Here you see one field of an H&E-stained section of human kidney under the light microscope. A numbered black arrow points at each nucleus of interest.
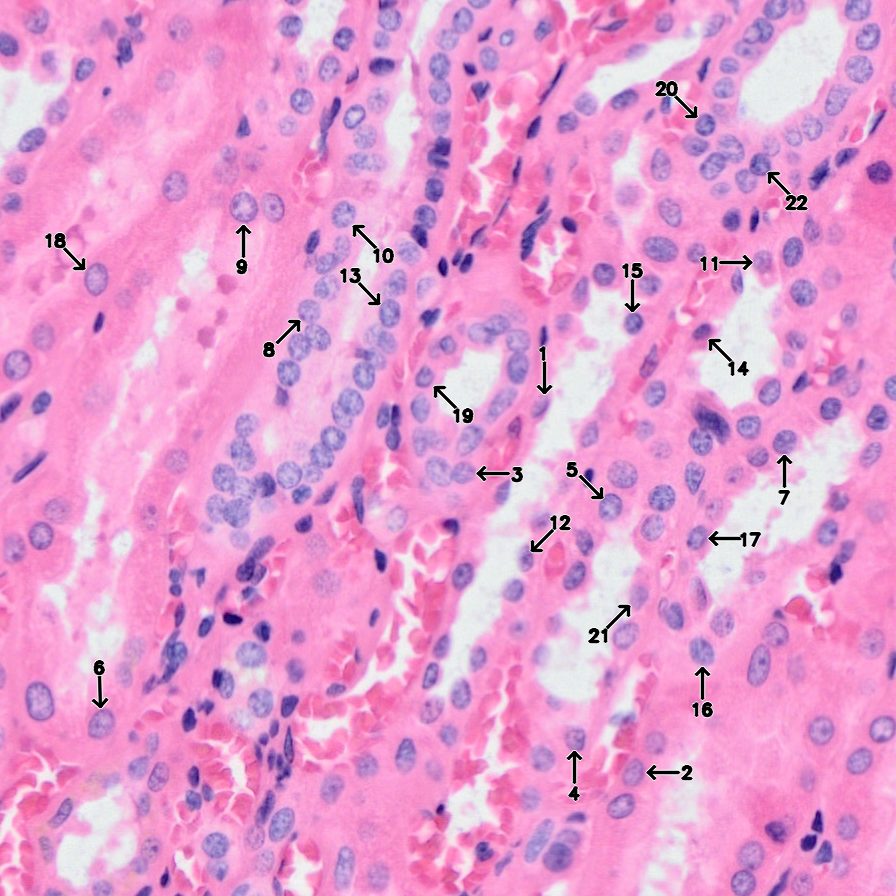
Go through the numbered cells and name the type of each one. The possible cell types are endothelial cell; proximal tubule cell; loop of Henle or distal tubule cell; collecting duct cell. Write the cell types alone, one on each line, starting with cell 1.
loop of Henle or distal tubule cell
proximal tubule cell
collecting duct cell
loop of Henle or distal tubule cell
loop of Henle or distal tubule cell
proximal tubule cell
loop of Henle or distal tubule cell
collecting duct cell
proximal tubule cell
collecting duct cell
loop of Henle or distal tubule cell
loop of Henle or distal tubule cell
collecting duct cell
loop of Henle or distal tubule cell
loop of Henle or distal tubule cell
loop of Henle or distal tubule cell
loop of Henle or distal tubule cell
proximal tubule cell
collecting duct cell
collecting duct cell
loop of Henle or distal tubule cell
collecting duct cell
